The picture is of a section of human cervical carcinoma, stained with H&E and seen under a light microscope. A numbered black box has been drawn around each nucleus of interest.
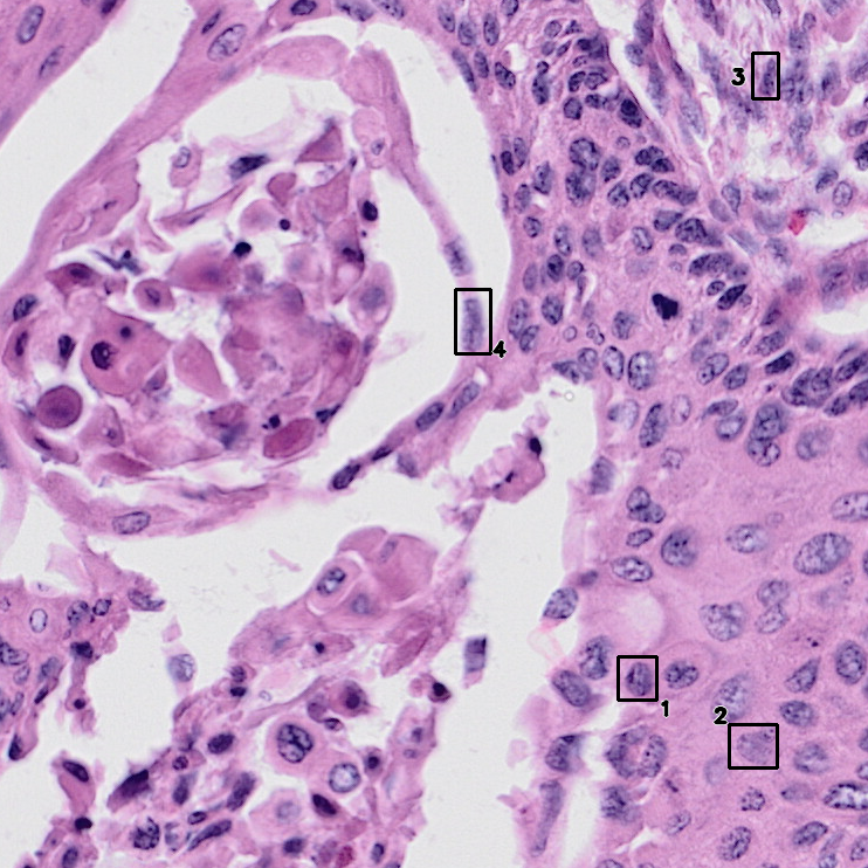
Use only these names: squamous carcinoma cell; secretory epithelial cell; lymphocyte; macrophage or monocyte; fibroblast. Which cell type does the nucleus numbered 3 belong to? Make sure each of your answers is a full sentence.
That cell with number 3 is a fibroblast.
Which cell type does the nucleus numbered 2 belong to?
The marked nucleus 2 is that of a squamous carcinoma cell.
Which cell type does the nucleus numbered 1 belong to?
The nucleus marked 1 is the nucleus of a squamous carcinoma cell.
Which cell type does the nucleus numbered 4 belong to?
The correct label for cell 4 is a squamous carcinoma cell.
